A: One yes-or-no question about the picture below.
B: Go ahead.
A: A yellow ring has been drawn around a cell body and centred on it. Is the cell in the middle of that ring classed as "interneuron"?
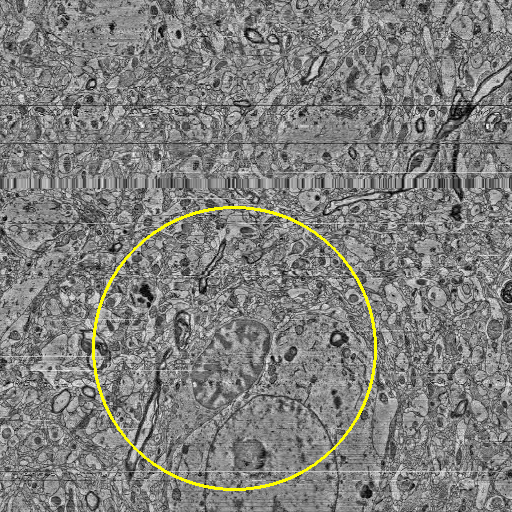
No, it is classed as another kind.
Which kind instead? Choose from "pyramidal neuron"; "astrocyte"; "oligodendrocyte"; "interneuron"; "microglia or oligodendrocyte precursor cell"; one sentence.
Instead, the cell at the centre of the ring is an oligodendrocyte.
